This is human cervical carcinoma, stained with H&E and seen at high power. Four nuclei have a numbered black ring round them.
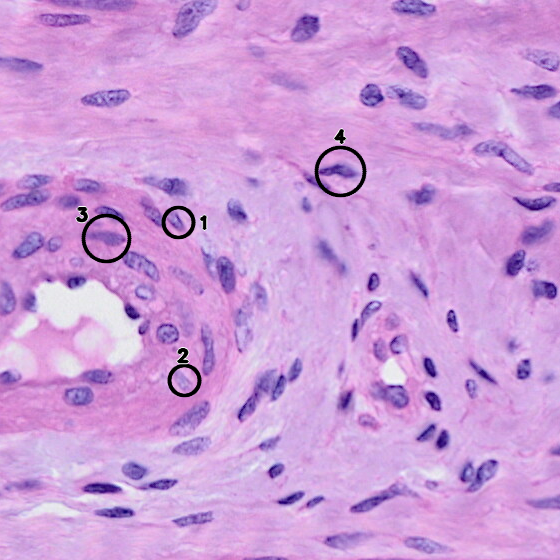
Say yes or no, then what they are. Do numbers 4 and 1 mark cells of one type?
No, cell 4 is identified as a fibroblast, and cell 1 is identified as a smooth muscle cell.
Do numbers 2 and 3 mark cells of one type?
Yes, cell 2 and likewise cell 3 are smooth muscle cells.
